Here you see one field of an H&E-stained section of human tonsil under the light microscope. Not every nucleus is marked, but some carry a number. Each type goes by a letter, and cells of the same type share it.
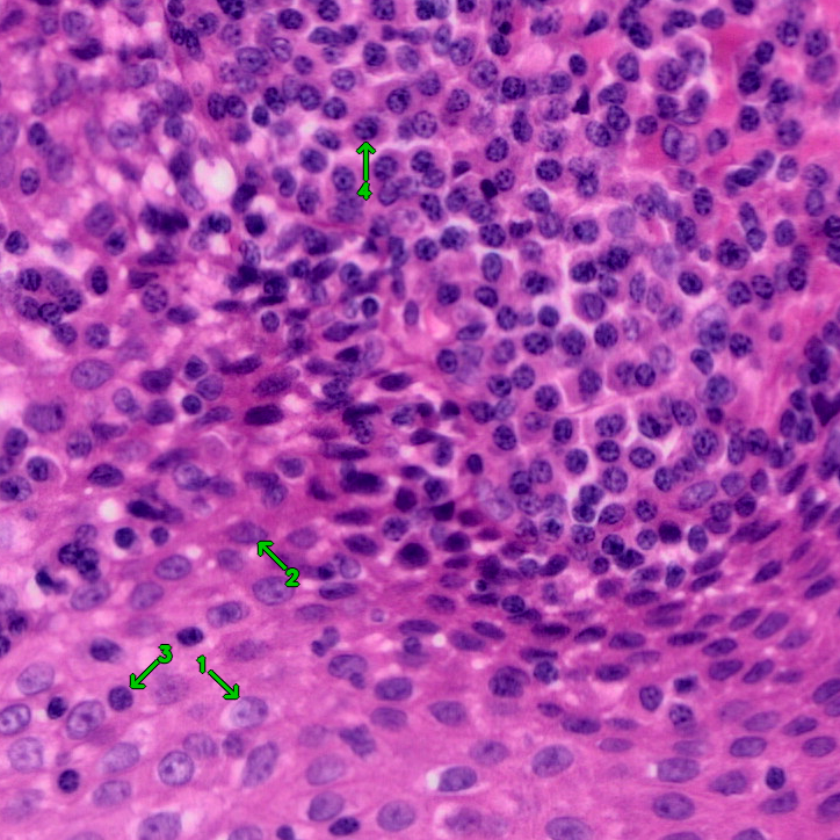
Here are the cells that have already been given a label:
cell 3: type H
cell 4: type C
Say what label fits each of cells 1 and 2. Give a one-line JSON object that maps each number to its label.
{"1": "type H", "2": "type H"}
